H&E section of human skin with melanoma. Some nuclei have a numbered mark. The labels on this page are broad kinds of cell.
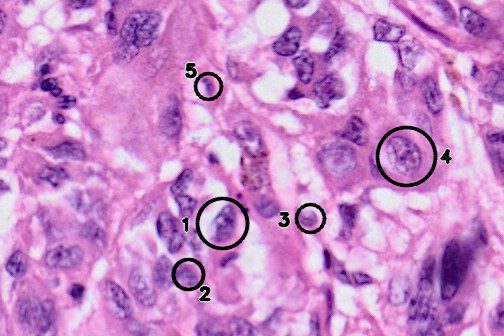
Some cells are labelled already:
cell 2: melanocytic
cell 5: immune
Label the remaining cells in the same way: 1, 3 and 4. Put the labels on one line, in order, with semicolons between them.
melanocytic; immune; melanocytic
